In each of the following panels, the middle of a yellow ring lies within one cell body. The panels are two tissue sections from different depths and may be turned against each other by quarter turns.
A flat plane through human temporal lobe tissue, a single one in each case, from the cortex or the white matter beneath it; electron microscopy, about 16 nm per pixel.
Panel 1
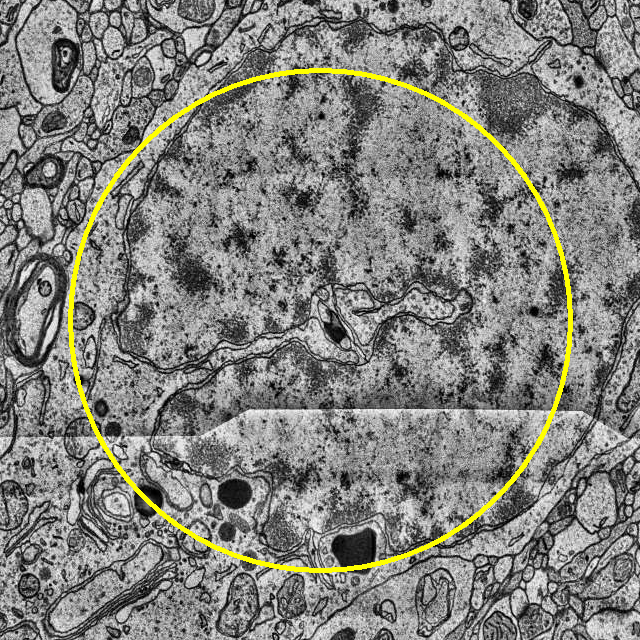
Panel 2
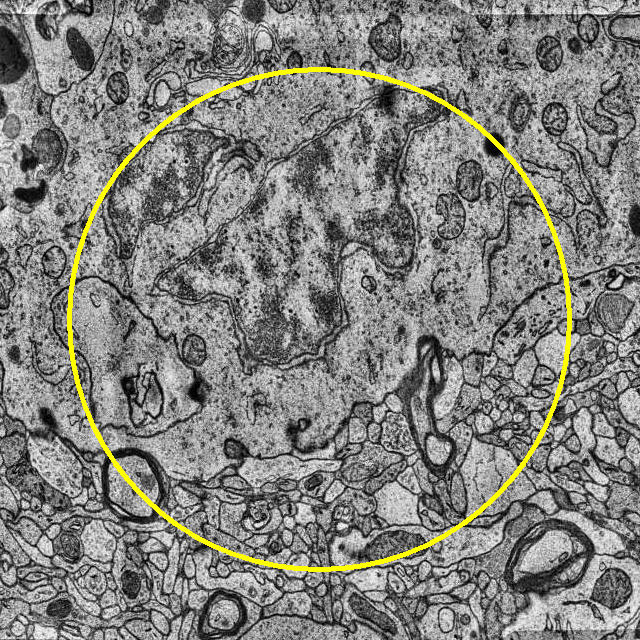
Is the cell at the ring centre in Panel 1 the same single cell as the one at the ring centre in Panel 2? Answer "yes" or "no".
no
